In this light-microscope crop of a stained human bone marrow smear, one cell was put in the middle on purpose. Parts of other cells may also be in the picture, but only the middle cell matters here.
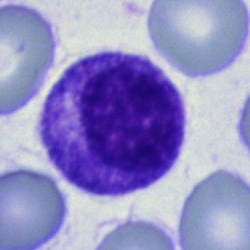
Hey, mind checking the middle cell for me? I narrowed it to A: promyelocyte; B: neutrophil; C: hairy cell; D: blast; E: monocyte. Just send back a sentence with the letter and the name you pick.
Option A is correct, and the cell in the centre is a promyelocyte.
